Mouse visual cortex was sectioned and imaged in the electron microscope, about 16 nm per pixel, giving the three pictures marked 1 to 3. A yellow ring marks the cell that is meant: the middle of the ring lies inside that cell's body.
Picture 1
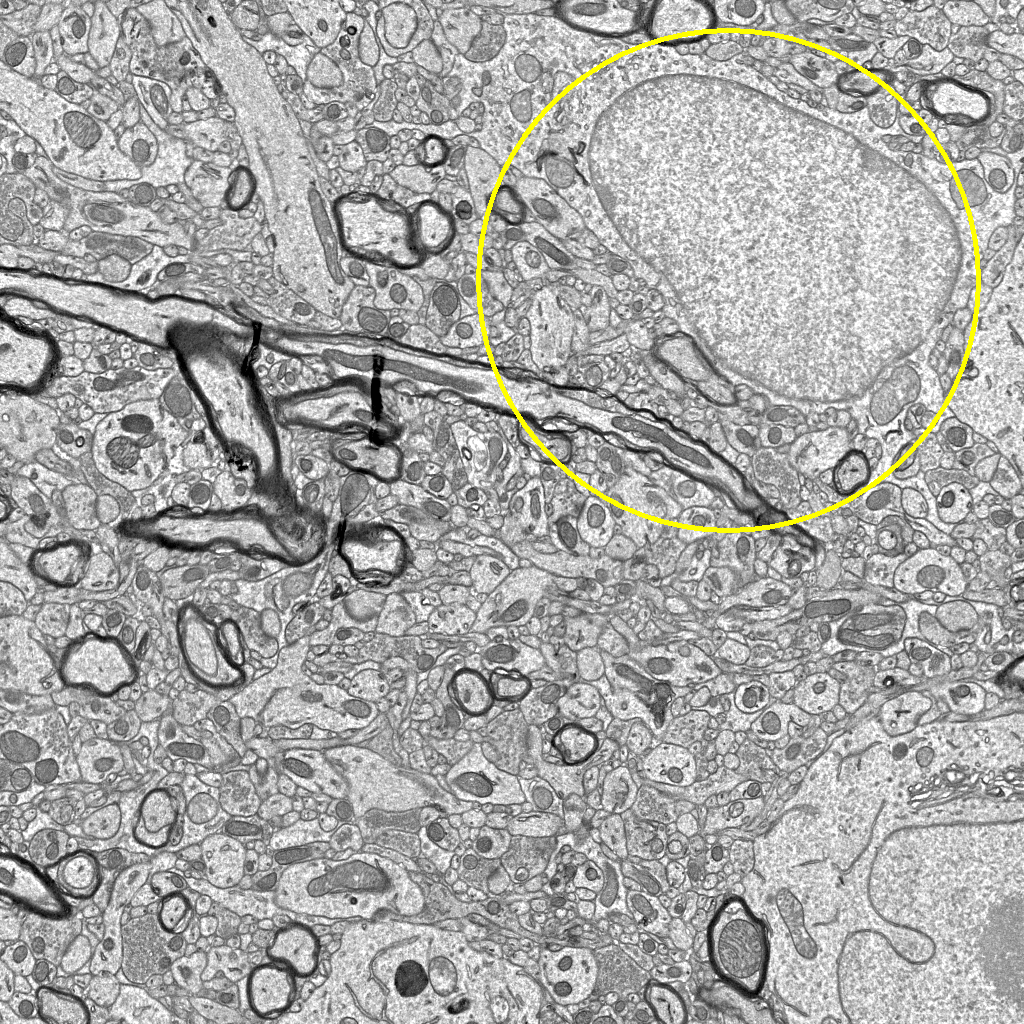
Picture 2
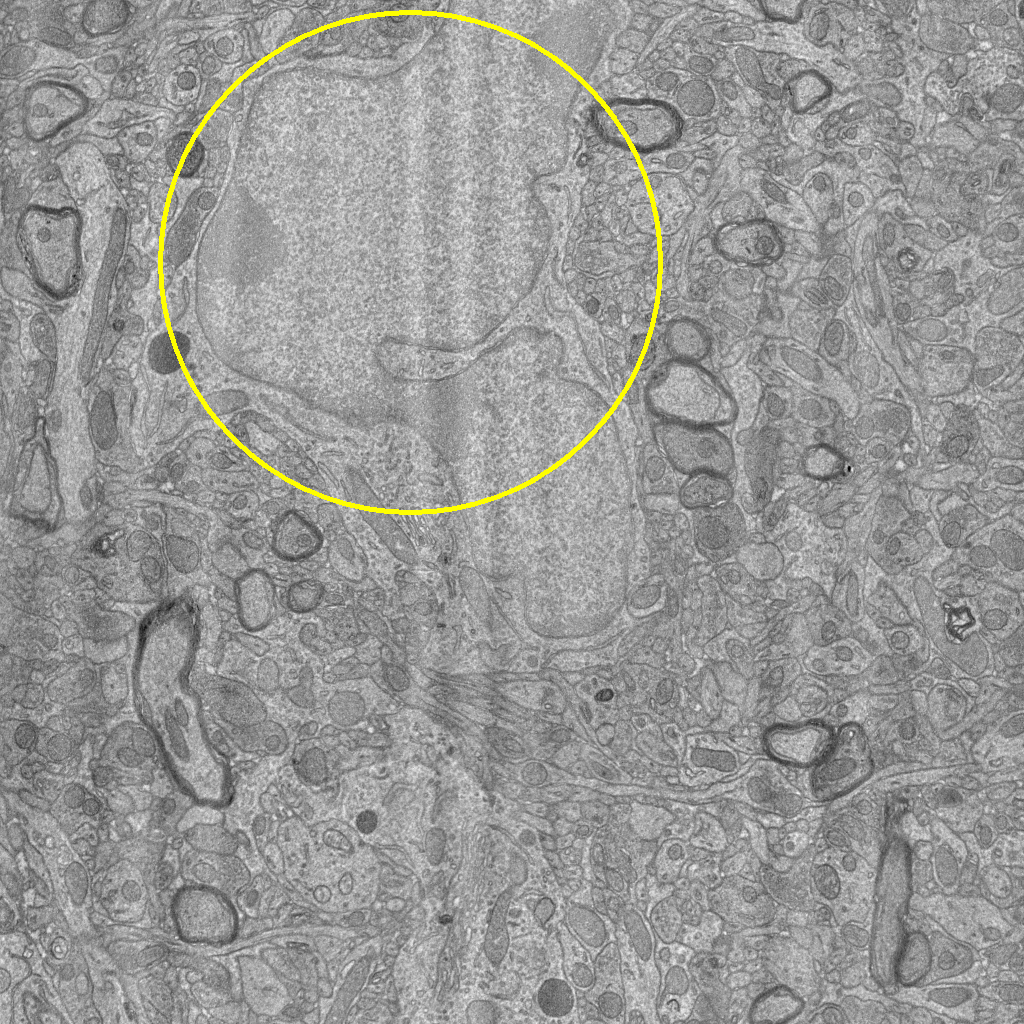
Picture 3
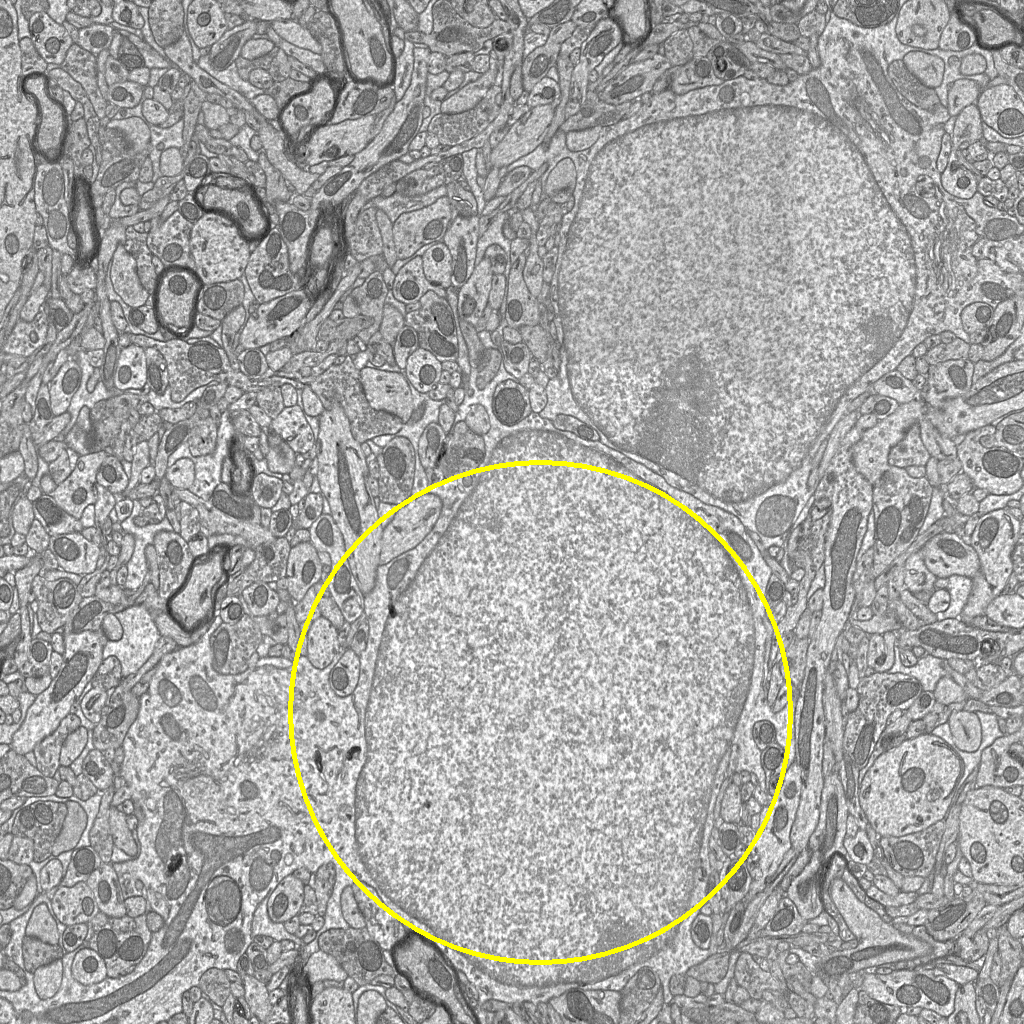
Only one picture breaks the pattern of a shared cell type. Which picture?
Picture 2 differs, because its cell is an oligodendrocyte precursor cell and the rest are astrocytes.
